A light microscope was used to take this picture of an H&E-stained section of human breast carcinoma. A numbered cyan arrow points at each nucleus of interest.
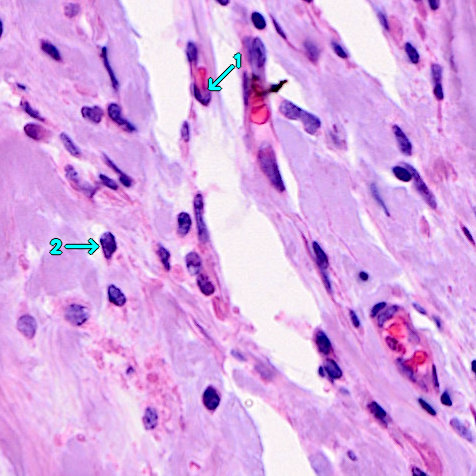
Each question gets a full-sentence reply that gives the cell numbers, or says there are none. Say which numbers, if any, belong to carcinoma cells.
Among the numbered cells, there are no carcinoma cells.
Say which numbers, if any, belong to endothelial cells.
Among the numbered cells, the one that is an endothelial cell is cell 1 alone.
